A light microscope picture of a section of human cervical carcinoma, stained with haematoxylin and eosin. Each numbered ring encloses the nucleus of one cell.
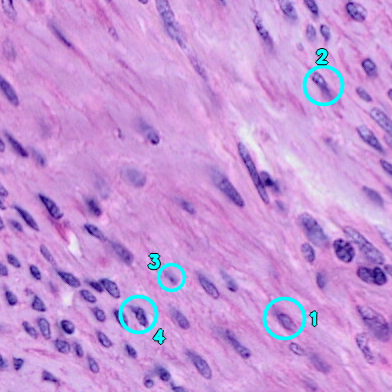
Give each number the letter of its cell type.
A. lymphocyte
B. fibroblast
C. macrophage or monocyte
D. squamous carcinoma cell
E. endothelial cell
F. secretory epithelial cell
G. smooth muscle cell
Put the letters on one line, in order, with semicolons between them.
G; G; G; B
